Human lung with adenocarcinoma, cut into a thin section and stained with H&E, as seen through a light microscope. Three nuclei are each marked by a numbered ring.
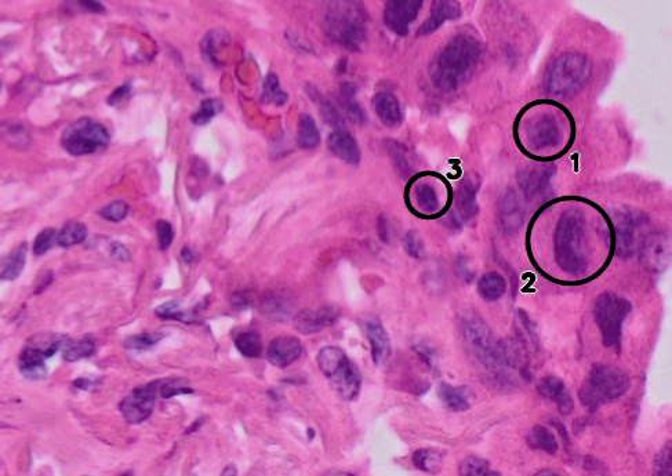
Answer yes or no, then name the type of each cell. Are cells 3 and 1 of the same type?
No, cell 3 is a lymphocyte, and cell 1, on the other hand, is a carcinoma cell.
